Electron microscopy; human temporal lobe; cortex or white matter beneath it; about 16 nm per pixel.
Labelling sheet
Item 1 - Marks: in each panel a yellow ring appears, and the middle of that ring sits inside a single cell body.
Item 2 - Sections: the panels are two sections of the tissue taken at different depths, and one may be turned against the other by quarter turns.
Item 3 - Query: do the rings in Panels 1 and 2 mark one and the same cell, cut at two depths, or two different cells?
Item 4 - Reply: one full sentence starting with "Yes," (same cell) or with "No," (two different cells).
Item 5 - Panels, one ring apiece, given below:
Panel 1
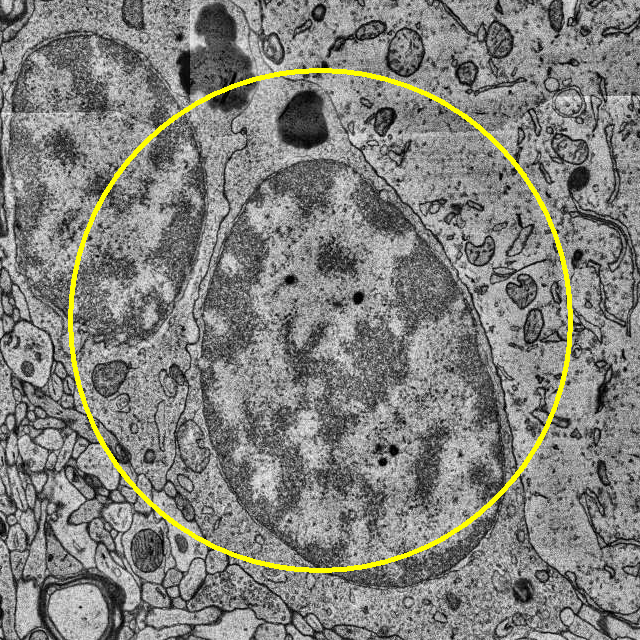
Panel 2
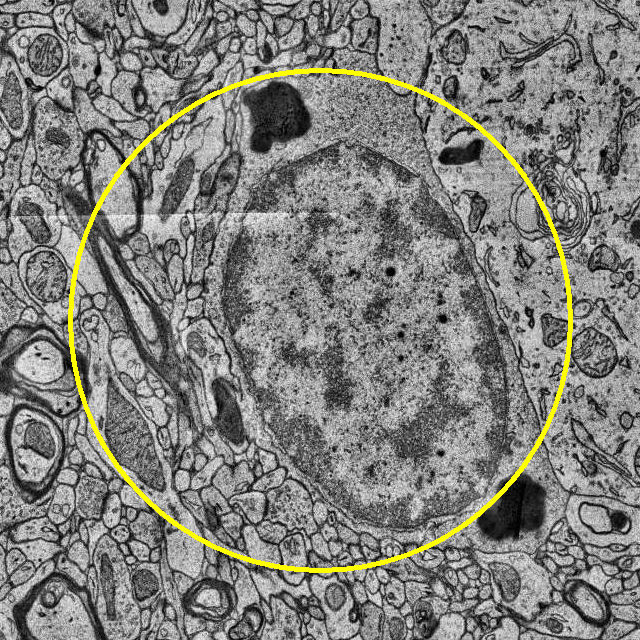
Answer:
Yes, one and the same cell lies under both rings.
